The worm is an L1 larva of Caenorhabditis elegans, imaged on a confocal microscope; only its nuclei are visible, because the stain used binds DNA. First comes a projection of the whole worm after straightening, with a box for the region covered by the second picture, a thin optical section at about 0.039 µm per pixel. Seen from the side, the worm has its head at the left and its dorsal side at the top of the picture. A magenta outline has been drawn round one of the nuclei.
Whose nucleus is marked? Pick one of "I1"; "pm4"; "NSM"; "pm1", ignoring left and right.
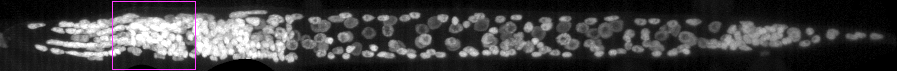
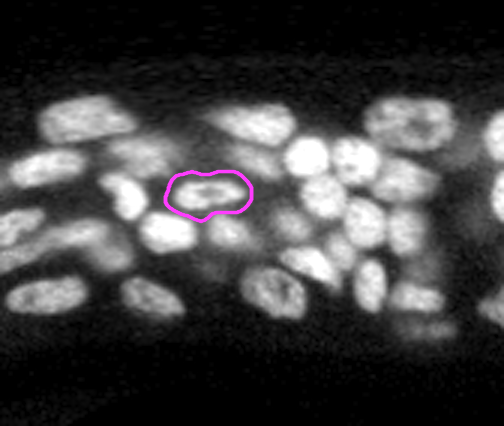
pm4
